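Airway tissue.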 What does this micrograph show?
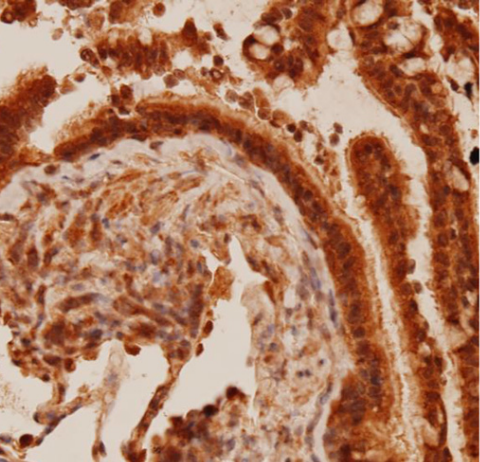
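The epithelium forms a continuous, densely packed layer of elongated cells whose cytoplasm is stained intensely brown, obscuring much of the nuclear detail. Folded epithelial strips run along the right side. Beneath the lining lies a cellular stroma containing many small rounded cells, many with brown cytoplasm, interspersed with paler spindle-shaped cells with blue nuclei. Detached cells and debris float in the open lumen spaces.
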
